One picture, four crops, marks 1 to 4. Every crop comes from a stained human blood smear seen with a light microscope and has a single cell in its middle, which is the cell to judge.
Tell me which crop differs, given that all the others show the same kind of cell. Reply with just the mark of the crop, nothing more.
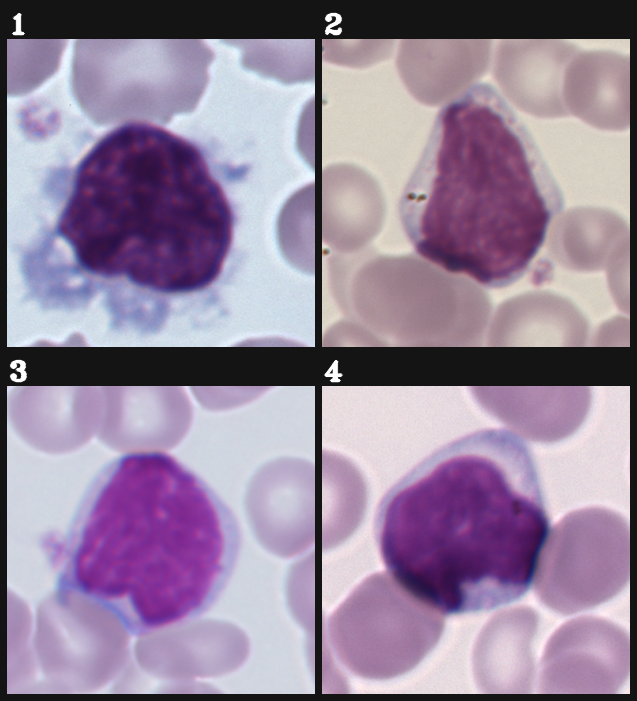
1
